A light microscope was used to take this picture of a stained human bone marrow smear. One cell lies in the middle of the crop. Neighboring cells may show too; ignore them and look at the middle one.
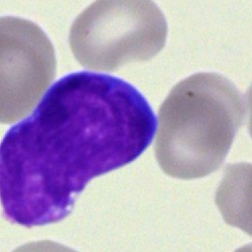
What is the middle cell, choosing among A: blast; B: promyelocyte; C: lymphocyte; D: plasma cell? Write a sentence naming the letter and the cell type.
The central cell, a blast, is correctly identified by option A.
